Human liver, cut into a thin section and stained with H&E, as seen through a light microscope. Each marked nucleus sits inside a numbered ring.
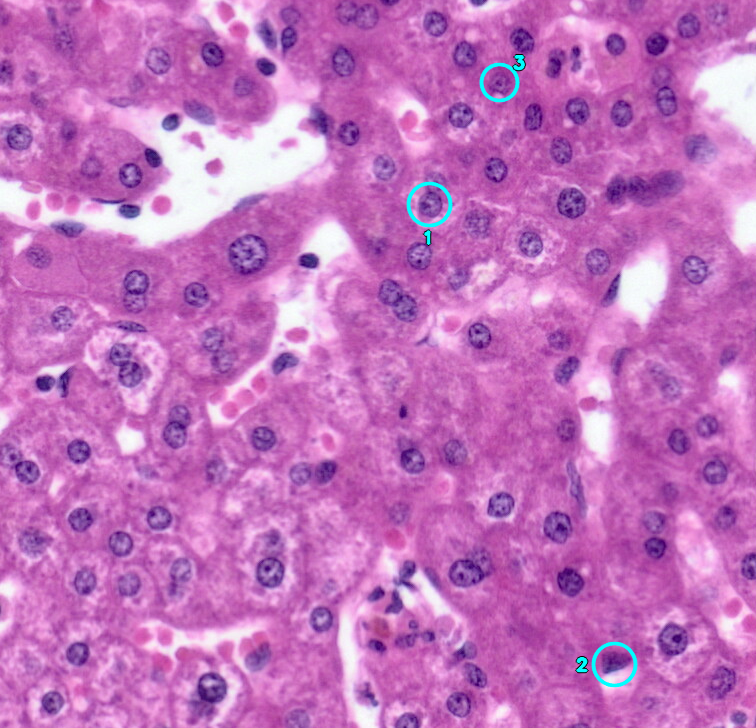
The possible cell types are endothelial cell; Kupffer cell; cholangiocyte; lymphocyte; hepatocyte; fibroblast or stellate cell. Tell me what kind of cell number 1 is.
hepatocyte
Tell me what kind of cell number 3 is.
hepatocyte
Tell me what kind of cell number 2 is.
endothelial cell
